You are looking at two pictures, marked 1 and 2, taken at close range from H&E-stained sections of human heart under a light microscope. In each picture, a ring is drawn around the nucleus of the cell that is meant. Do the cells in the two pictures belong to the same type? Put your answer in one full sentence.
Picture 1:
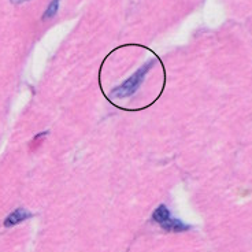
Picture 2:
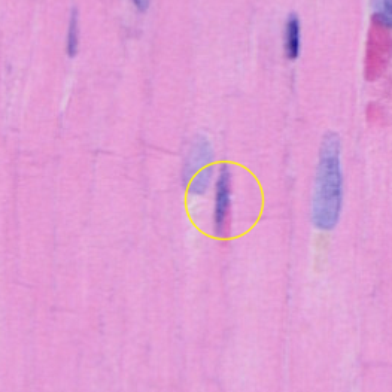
Yes, both are endothelial cells.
